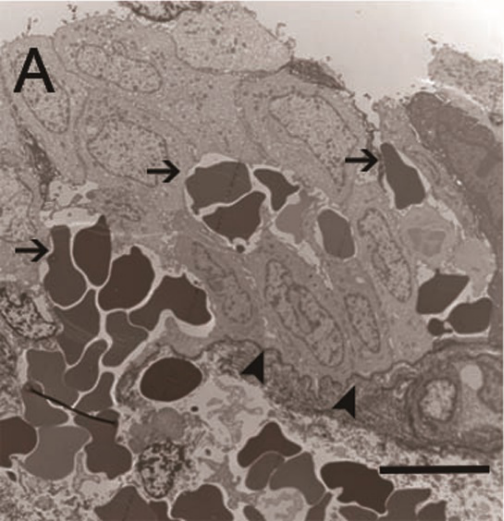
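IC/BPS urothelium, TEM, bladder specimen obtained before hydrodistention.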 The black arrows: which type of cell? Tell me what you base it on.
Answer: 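Red blood cells. The marked cells are uniformly electron-dense and lack nuclei. They have irregular, deformed outlines and lie packed in clusters. Some lie among the nucleated epithelial cells.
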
